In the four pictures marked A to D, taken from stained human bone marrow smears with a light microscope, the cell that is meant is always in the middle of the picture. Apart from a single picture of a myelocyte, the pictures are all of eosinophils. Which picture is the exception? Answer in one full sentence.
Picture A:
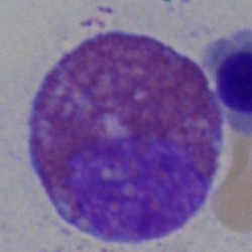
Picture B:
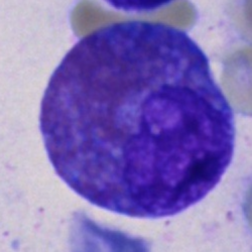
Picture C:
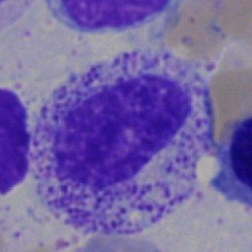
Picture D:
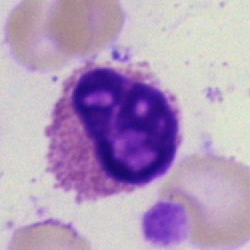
The myelocyte is the one in picture C.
